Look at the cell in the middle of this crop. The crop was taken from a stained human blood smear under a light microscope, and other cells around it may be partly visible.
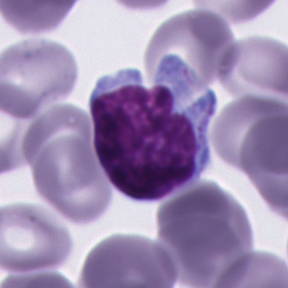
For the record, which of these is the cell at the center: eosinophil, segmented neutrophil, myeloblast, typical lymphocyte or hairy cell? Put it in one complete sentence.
Among the cells in view, the one in the middle is a typical lymphocyte.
